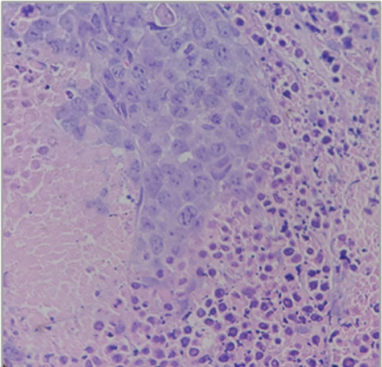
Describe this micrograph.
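Tumor tissue with an area of coagulative necrosis and apoptotic cells. In the lower left, a pale pink field holds ghost outlines of cells without stained nuclei. Across the middle runs a band of larger cells with pale purple cytoplasm and indistinct borders. To the right, scattered cells are shrunken with small, dark, condensed nuclei, some rounded apart from their neighbours, amid pink material. The sharp passage from viable to non-staining tissue is readily seen.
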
